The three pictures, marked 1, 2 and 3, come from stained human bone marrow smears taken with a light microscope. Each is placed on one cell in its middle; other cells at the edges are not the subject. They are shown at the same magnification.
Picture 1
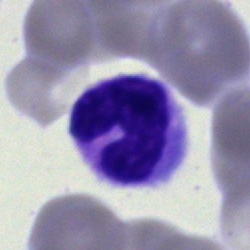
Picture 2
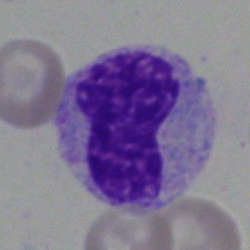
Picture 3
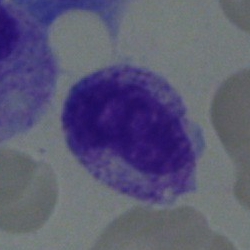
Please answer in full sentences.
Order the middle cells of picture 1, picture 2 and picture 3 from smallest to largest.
The order is 1, 3, 2, beginning with the smallest.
